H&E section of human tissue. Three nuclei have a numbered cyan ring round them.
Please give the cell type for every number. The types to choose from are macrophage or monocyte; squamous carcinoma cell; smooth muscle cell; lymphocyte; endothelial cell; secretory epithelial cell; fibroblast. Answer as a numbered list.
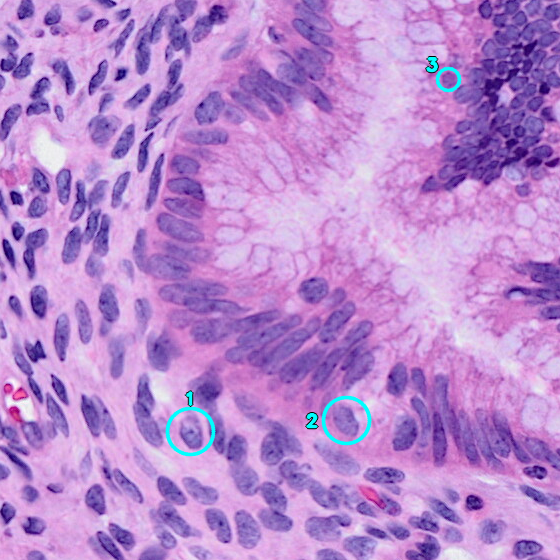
1. endothelial cell
2. secretory epithelial cell
3. secretory epithelial cell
